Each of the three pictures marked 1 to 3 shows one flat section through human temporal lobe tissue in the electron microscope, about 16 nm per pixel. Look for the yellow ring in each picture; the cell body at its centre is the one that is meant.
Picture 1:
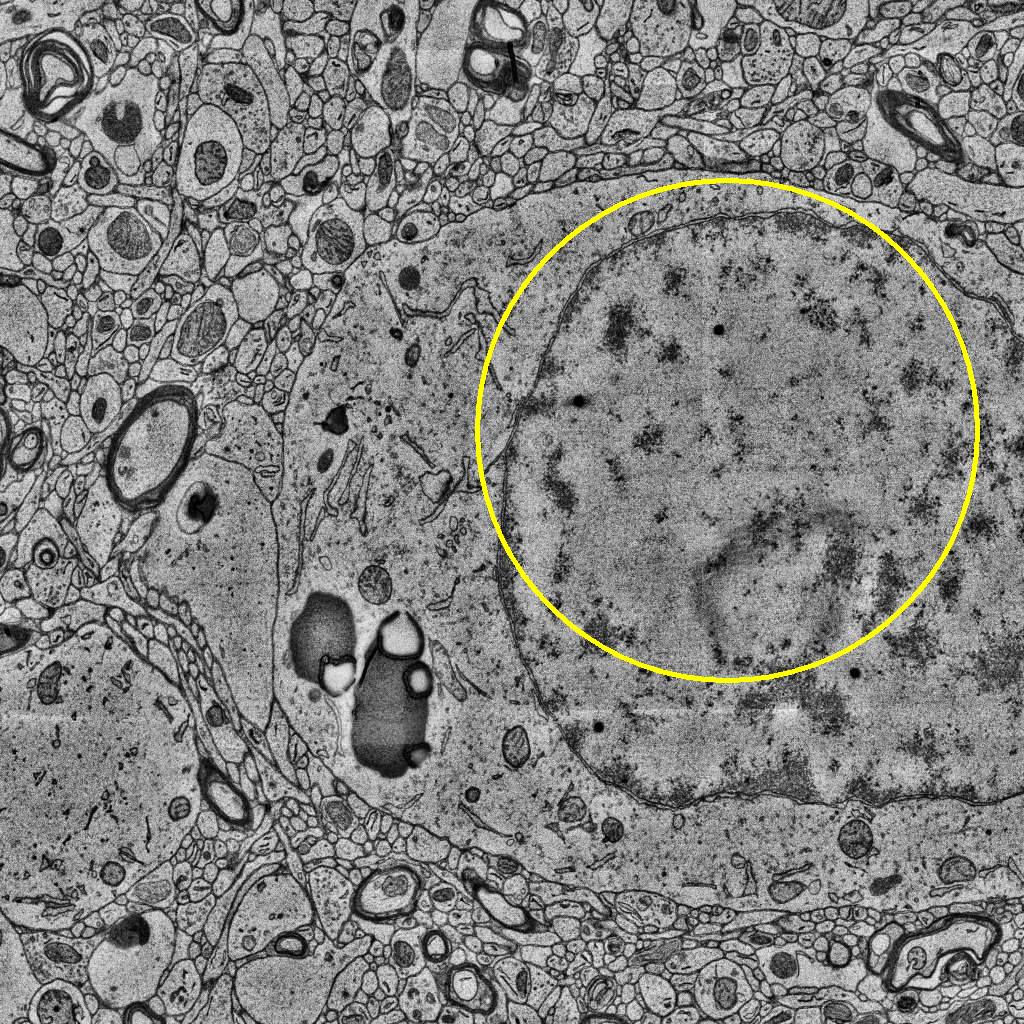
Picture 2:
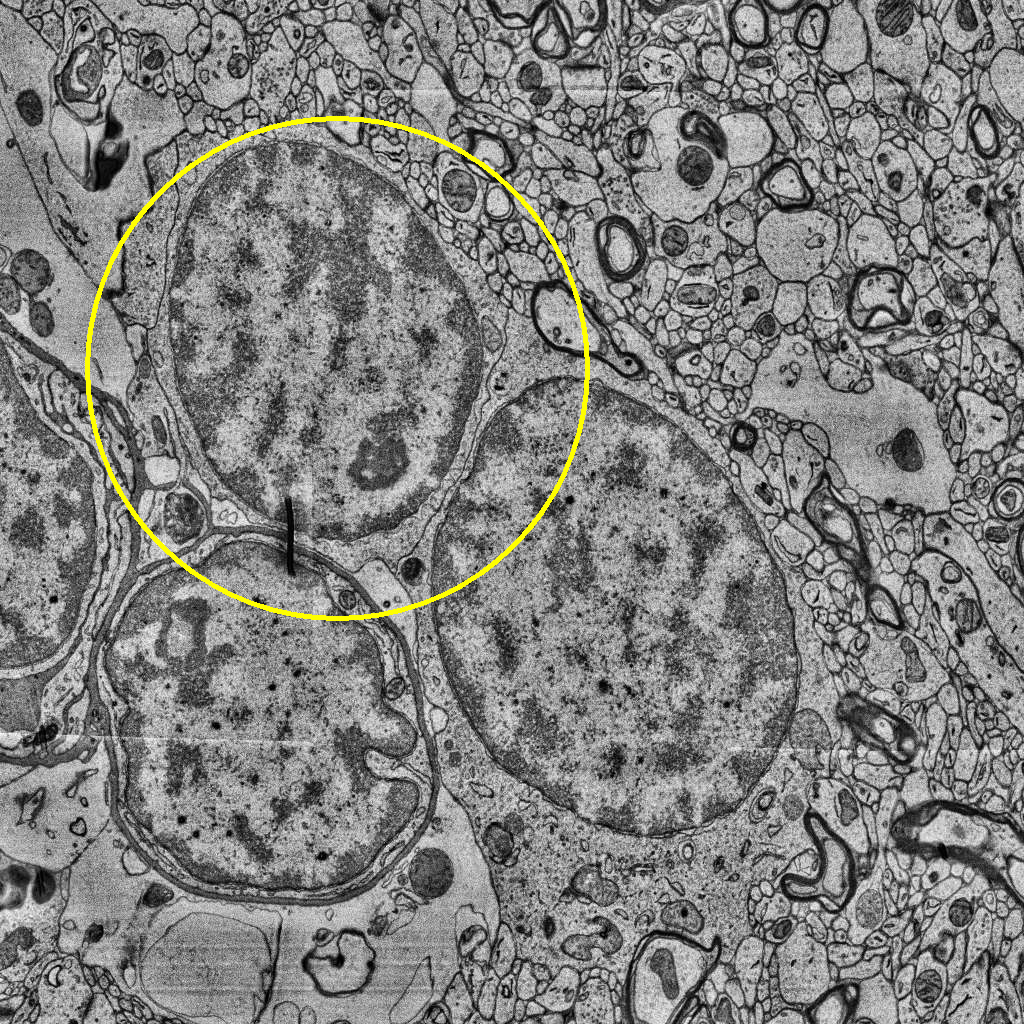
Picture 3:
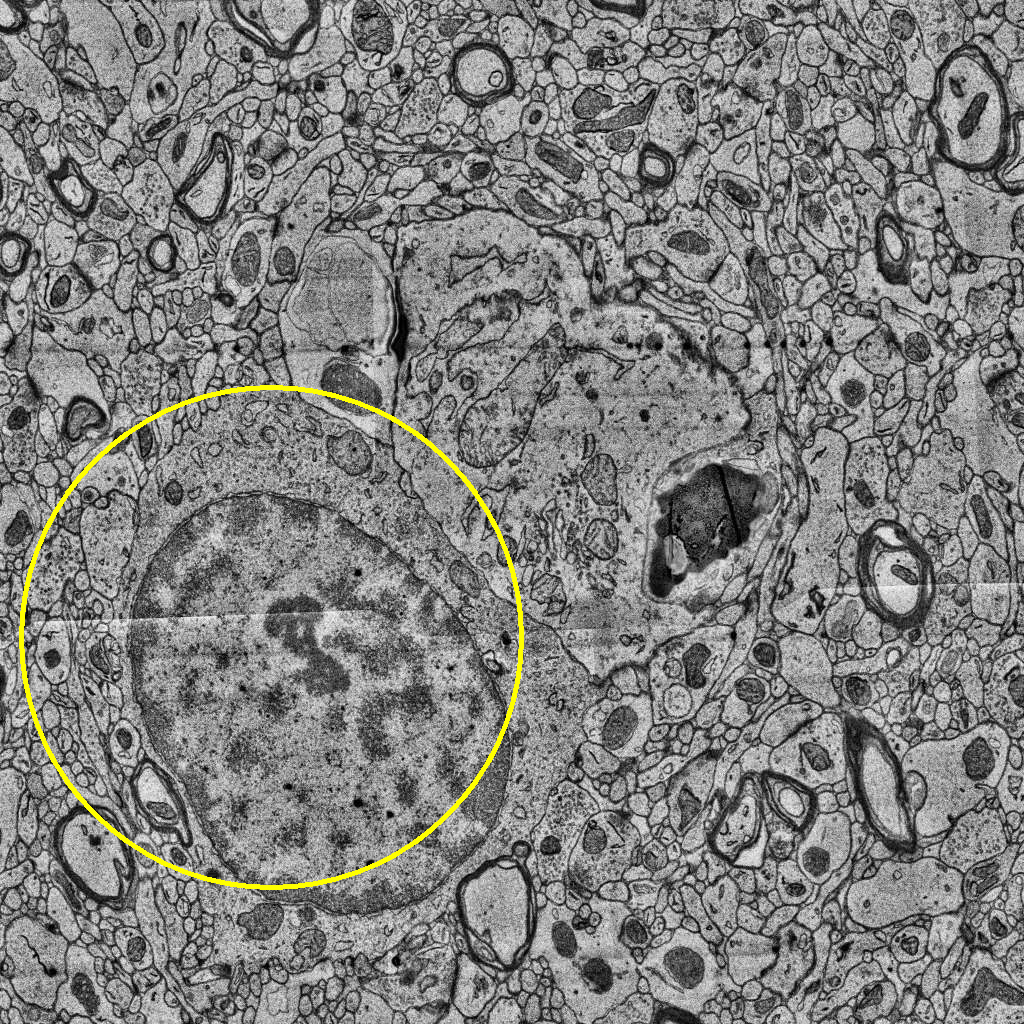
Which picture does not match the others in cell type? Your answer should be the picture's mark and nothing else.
1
